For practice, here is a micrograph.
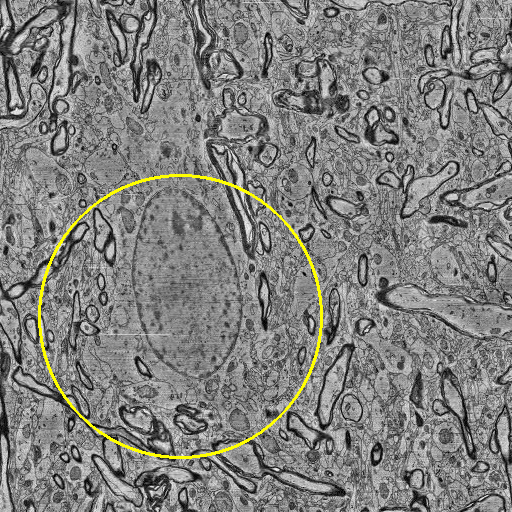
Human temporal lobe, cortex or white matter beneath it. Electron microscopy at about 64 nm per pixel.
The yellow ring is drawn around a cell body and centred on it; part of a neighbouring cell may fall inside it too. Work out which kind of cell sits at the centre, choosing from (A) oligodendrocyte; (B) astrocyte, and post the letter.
B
